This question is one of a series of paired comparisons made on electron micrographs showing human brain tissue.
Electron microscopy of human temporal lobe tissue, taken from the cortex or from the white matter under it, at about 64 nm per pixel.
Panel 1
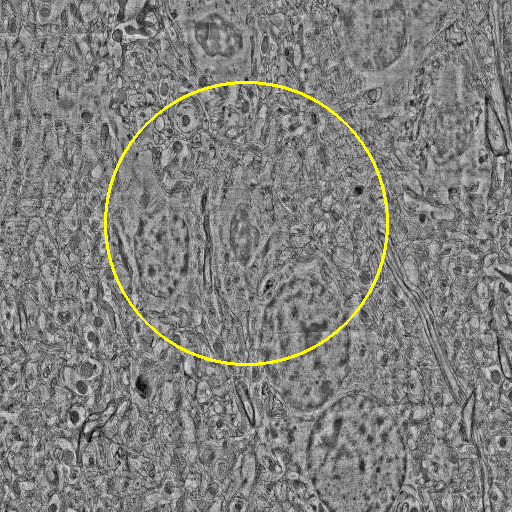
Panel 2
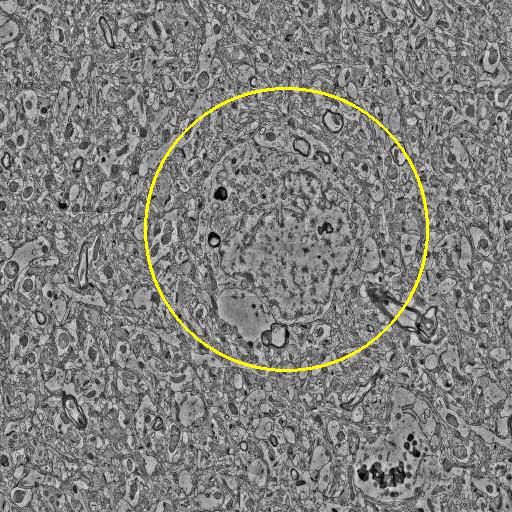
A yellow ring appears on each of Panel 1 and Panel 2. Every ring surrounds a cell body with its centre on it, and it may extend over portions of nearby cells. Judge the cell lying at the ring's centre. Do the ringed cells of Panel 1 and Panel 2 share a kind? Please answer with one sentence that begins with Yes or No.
No, the ring-centre cell in Panel 1 and the one in Panel 2 are of two kinds.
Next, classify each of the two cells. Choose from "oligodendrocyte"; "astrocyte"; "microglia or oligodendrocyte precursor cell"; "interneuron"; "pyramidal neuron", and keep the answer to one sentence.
In the first picture it is an astrocyte; in the second it is an interneuron.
